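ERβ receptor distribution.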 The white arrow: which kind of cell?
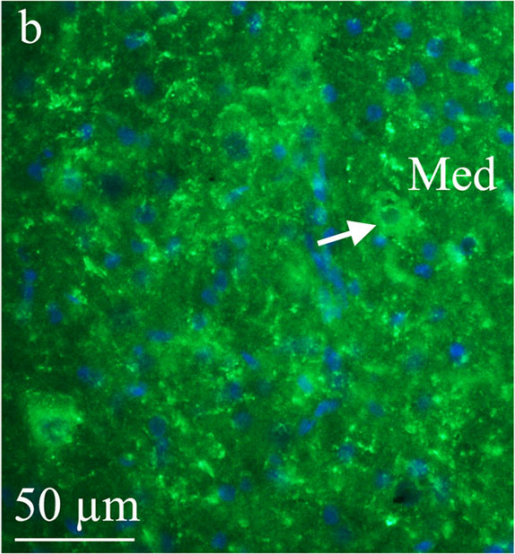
Neuronal.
